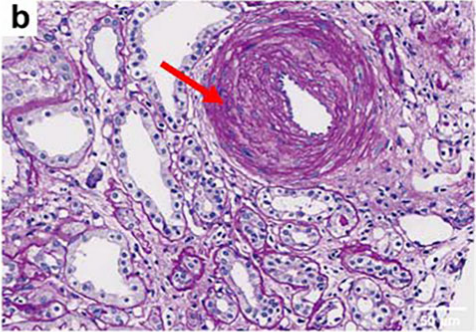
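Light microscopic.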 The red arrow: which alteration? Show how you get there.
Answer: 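Onion skin lesion. A small artery has a greatly thickened wall made of many concentric layers. The lesion is surrounded by renal tubules.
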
